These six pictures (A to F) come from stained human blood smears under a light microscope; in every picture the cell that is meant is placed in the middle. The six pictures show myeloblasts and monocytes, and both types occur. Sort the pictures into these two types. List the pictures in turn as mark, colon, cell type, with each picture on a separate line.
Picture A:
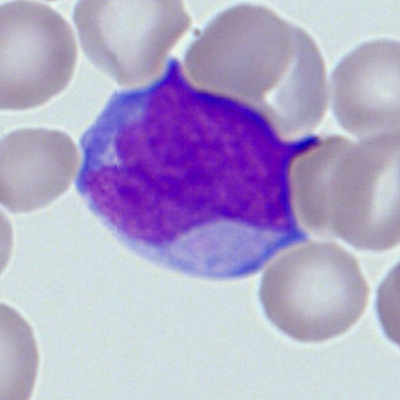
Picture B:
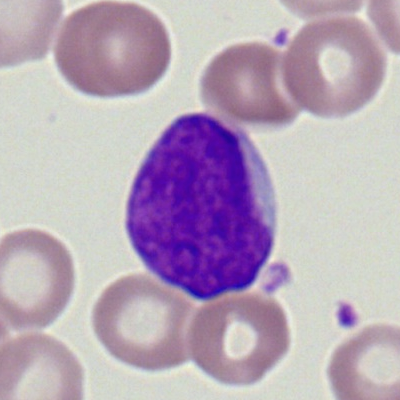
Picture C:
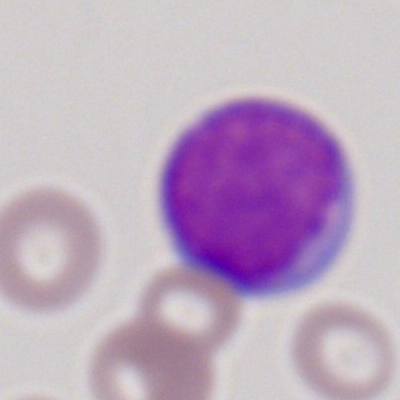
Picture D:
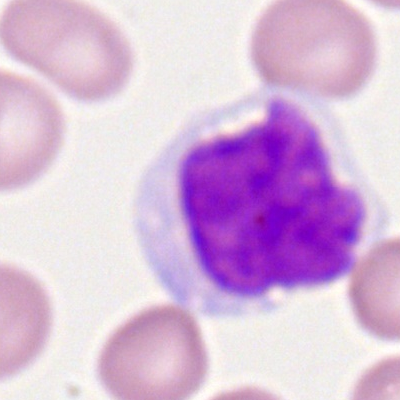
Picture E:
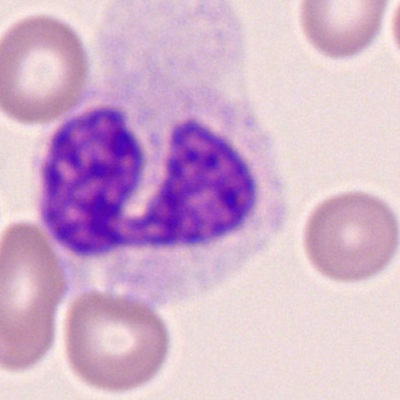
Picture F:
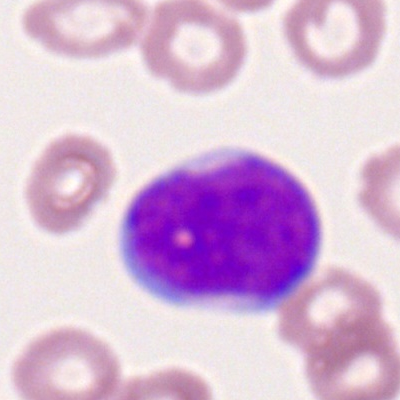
A: myeloblast
B: myeloblast
C: myeloblast
D: monocyte
E: monocyte
F: myeloblast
